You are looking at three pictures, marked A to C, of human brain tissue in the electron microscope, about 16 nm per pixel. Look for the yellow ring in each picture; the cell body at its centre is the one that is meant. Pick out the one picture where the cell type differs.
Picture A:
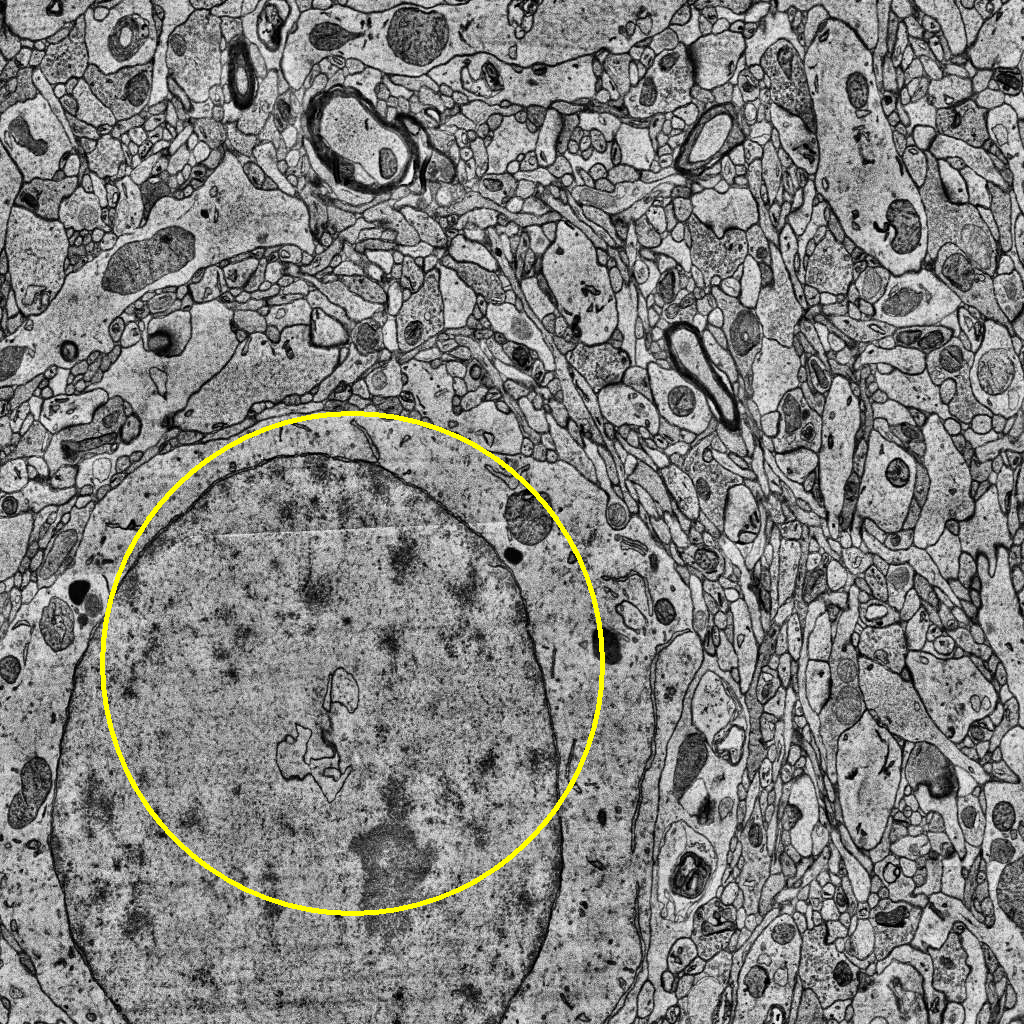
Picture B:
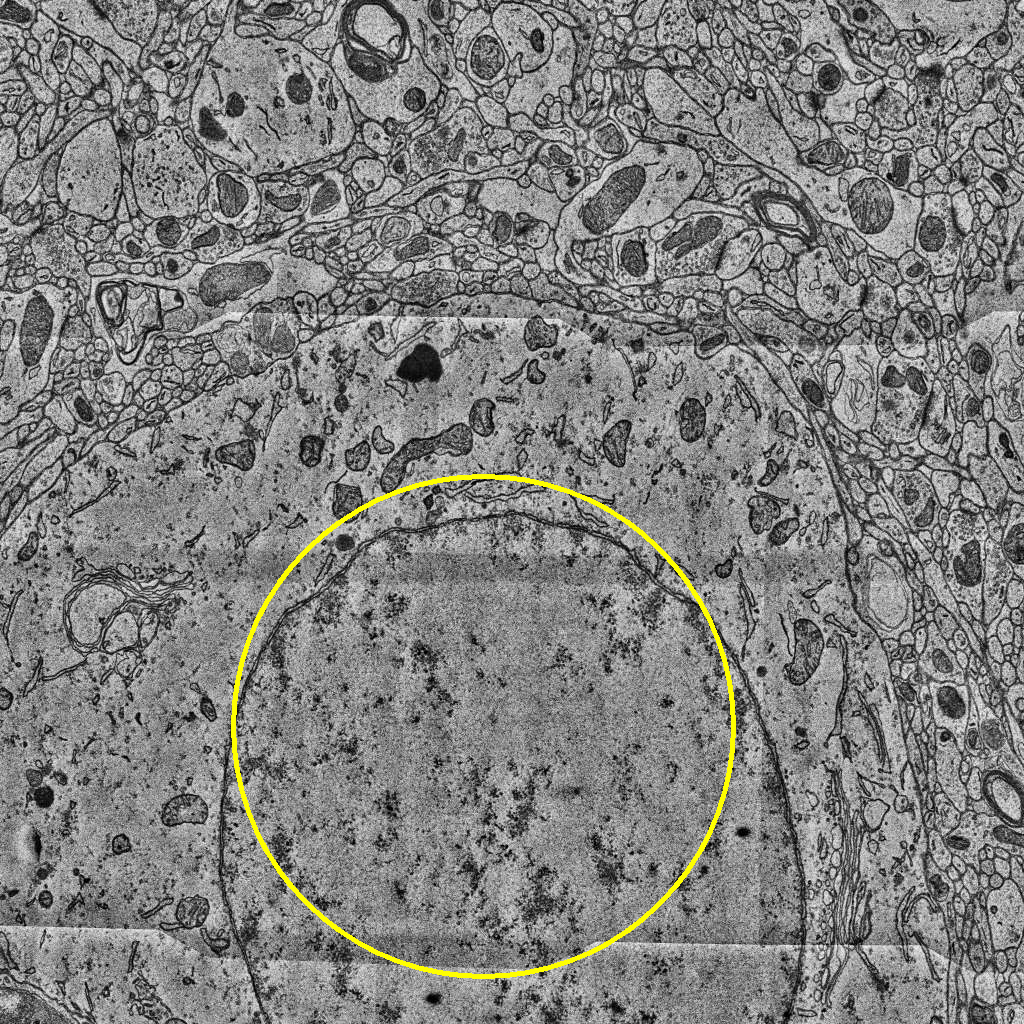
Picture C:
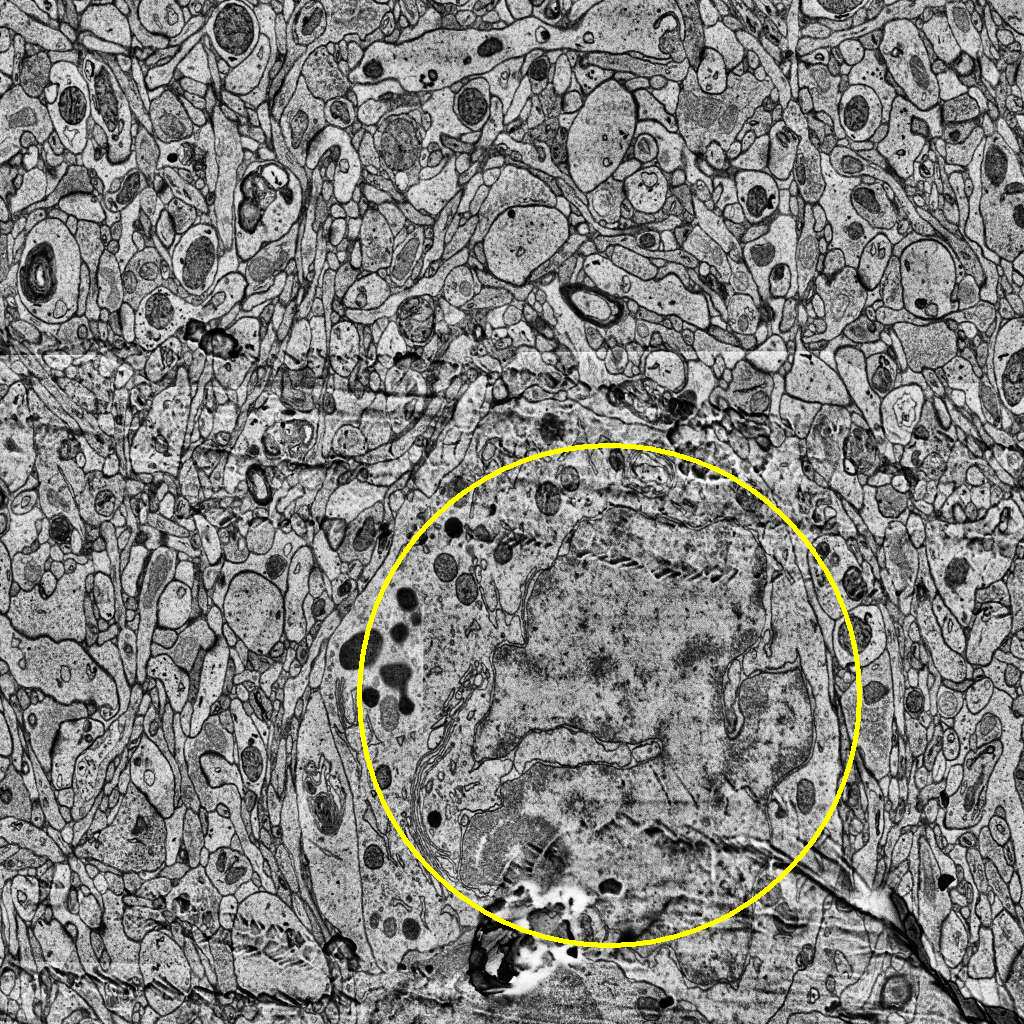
The others show pyramidal neurons, but picture C shows an interneuron.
